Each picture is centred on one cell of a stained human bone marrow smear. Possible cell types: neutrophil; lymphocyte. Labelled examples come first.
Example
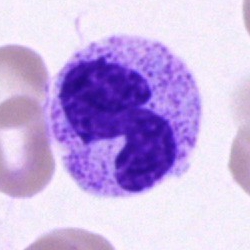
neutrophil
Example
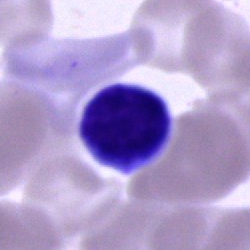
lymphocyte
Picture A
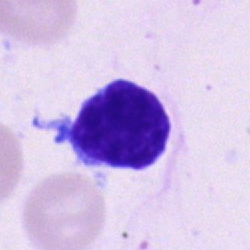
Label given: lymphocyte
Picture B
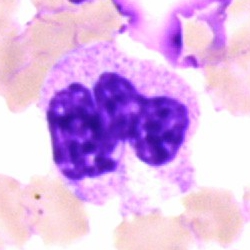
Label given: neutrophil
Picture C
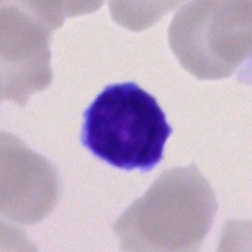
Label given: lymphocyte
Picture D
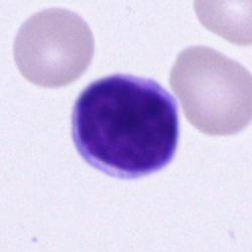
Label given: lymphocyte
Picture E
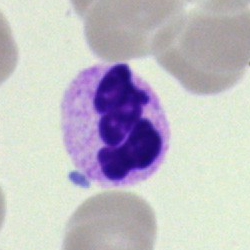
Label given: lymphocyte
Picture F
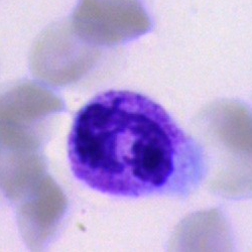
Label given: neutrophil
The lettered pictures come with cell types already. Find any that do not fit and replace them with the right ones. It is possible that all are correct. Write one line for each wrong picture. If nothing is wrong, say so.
E: neutrophil, not lymphocyte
